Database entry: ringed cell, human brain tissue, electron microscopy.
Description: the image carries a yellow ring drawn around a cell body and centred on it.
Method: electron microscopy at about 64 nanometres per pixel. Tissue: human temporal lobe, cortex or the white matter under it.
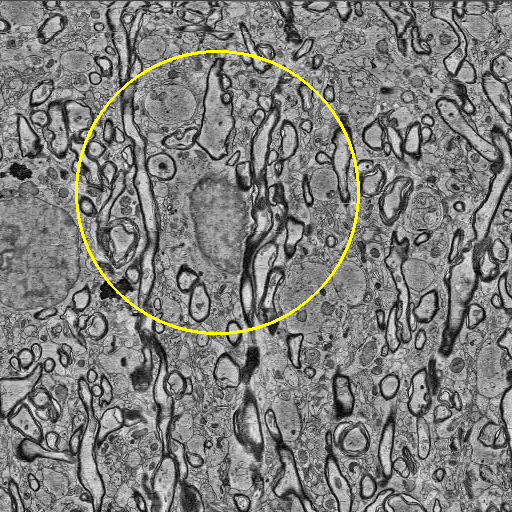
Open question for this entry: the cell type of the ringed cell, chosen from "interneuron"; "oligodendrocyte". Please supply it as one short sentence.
The ringed cell is an oligodendrocyte.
